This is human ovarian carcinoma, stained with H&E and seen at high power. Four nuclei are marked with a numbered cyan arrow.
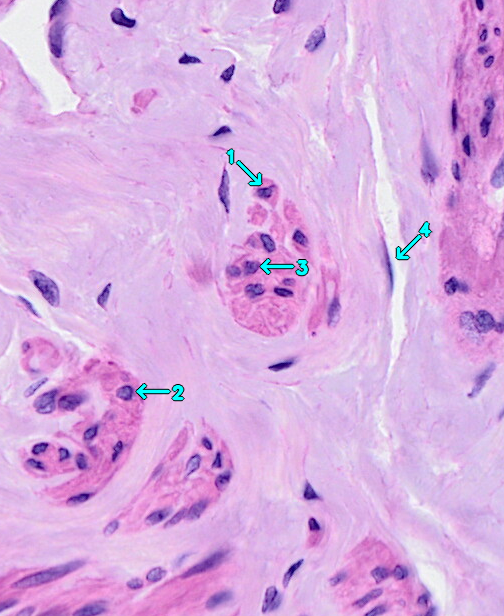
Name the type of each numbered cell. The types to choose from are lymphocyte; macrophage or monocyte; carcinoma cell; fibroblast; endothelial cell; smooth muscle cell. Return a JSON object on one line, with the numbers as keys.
{"1": "smooth muscle cell", "2": "smooth muscle cell", "3": "smooth muscle cell", "4": "fibroblast"}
